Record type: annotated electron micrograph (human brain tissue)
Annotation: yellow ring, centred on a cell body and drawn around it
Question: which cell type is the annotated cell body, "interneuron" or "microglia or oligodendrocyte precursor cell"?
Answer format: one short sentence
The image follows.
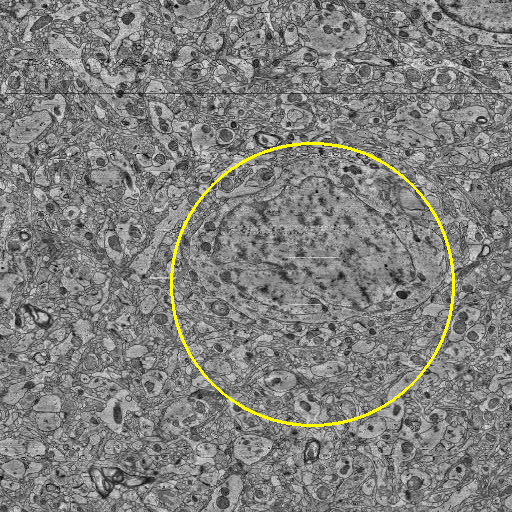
The annotated cell body is that of an interneuron.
